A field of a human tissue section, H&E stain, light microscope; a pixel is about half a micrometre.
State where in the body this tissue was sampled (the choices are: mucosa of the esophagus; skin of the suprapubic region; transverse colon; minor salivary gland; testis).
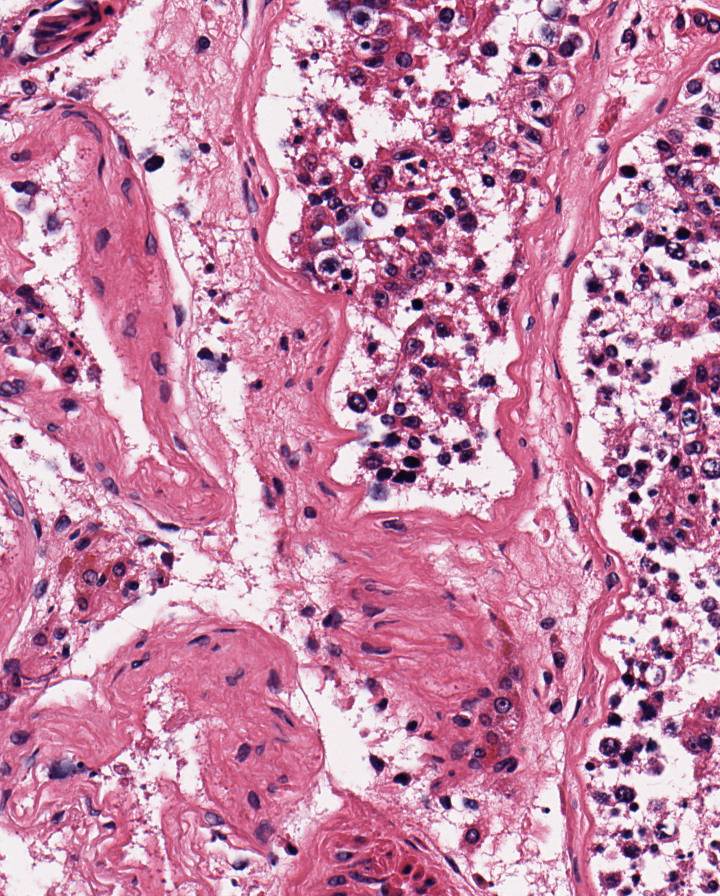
testis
